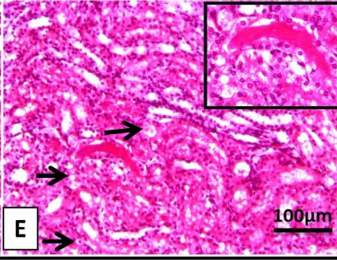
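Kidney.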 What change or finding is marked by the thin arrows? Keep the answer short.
tubular hydropic degeneration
